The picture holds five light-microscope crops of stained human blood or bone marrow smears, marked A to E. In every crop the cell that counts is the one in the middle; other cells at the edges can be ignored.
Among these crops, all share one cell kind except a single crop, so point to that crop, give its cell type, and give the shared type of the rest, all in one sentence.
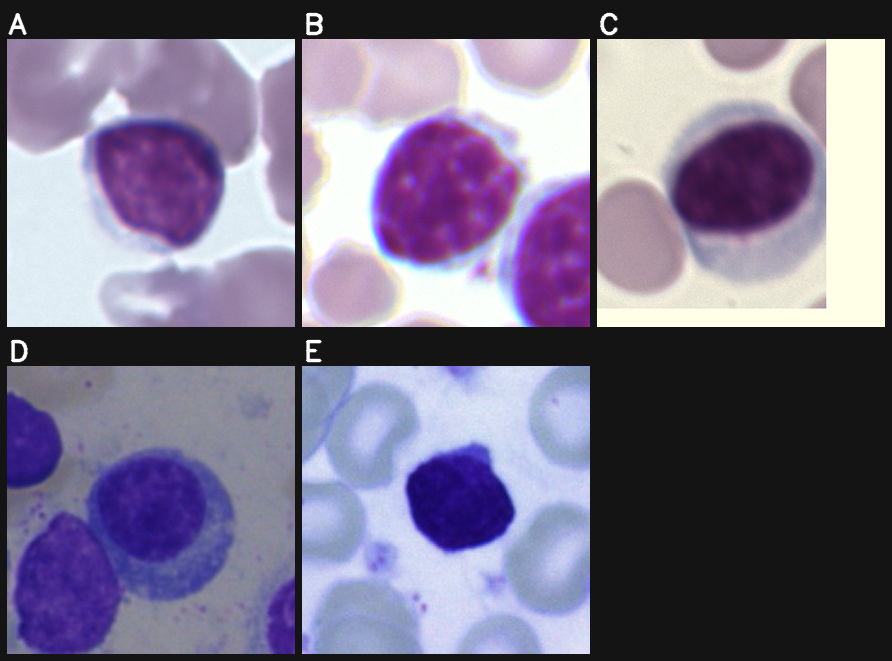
Crop D does not match the others; it shows a plasma cell, and they show lymphocytes.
